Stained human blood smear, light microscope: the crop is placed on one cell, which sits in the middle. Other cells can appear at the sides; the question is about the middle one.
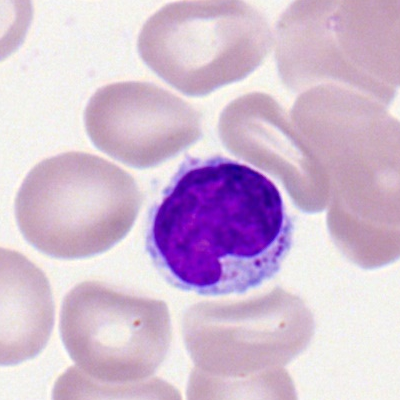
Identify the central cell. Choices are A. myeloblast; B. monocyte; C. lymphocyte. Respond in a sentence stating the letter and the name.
It is a lymphocyte that occupies the centre of the crop, so option C is correct.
